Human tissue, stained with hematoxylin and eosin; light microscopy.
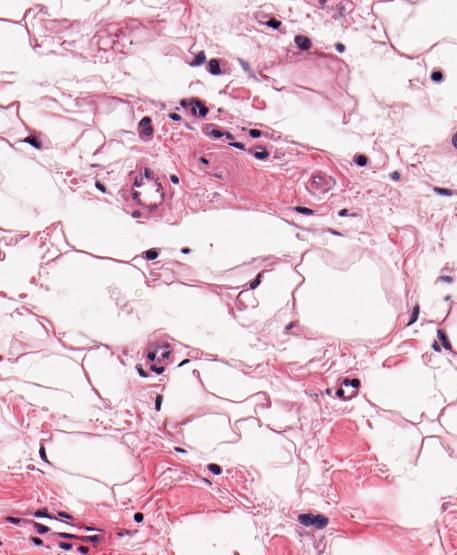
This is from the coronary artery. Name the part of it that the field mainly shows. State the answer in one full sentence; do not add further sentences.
The tissue part in this image has the name fat.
